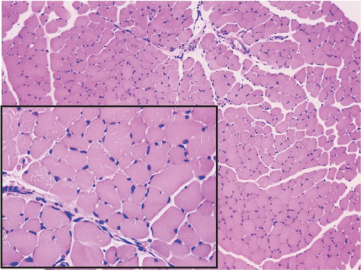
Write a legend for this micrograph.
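This cross section of skeletal muscle shows many closely packed, polygonal muscle fibers stained pink with eosin. Each fiber has a uniform cytoplasm, and the small dark blue nuclei sit at the edge of the fibers rather than in their centre. Thin pale lines of connective tissue separate the fibers, and wider white clefts divide them into groups. The enlarged inset shows the peripheral nuclei and the angular outlines of neighbouring fibers more clearly.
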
